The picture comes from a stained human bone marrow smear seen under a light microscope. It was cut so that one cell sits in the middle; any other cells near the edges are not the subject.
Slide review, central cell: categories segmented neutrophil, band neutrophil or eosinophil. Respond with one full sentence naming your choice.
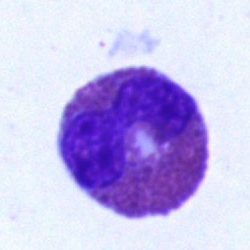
The cell shown in the center of this light-microscope crop is an eosinophil.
